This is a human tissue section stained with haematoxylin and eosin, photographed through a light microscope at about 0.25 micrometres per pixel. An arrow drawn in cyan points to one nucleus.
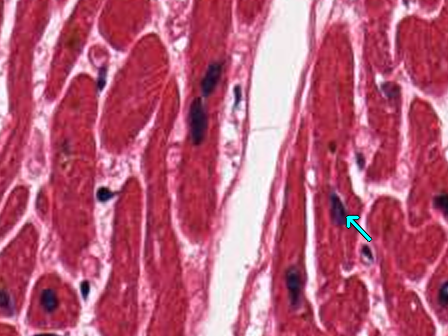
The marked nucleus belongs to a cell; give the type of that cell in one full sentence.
Located in a cardiomyocyte is the marked nucleus.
